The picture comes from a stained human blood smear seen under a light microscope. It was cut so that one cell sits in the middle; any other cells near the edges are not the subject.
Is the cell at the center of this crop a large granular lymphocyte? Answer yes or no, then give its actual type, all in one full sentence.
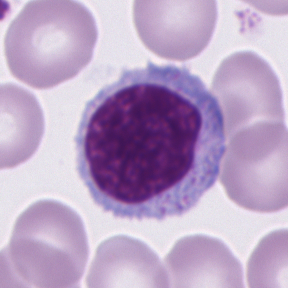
Yes, at the centre of the crop lies a large granular lymphocyte.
